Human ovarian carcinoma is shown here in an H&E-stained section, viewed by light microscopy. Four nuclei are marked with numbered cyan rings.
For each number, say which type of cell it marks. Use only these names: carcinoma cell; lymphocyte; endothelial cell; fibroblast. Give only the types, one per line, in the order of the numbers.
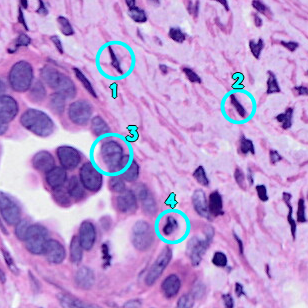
fibroblast
fibroblast
carcinoma cell
lymphocyte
